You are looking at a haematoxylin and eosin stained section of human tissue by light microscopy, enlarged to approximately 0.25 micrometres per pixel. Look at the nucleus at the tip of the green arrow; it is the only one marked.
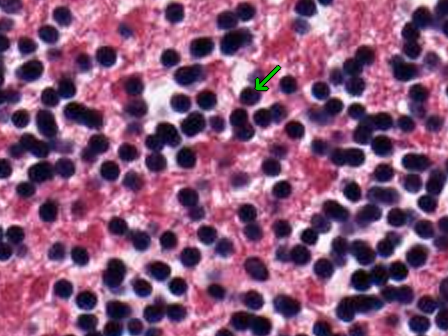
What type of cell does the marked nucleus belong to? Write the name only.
cerebellar granule cell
